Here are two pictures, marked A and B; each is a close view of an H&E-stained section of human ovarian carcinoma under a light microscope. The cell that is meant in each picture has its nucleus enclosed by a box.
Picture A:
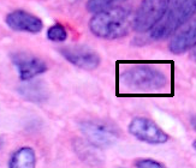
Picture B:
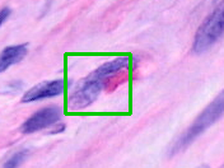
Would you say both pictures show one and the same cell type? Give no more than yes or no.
no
